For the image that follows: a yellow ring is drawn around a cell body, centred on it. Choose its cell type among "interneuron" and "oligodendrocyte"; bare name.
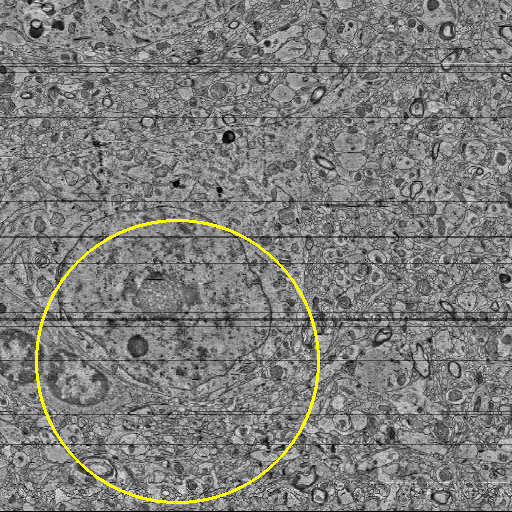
interneuron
